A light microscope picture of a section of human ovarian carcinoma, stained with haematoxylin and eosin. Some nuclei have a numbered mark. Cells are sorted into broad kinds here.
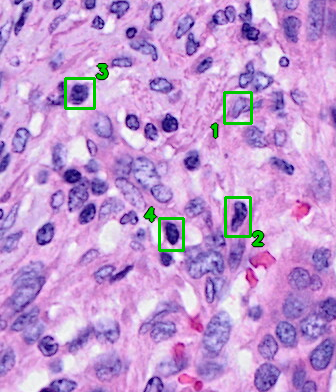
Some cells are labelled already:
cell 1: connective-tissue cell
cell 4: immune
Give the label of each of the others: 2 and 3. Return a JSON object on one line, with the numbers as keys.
{"2": "immune", "3": "immune"}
